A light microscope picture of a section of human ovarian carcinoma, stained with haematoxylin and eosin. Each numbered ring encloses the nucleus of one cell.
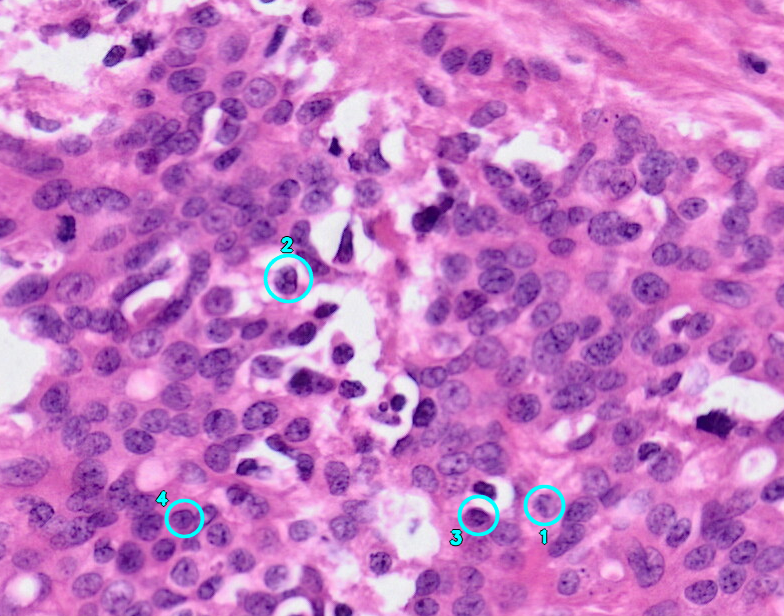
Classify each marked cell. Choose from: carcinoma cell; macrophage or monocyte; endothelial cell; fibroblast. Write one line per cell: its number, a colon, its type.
1: macrophage or monocyte
2: carcinoma cell
3: carcinoma cell
4: carcinoma cell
